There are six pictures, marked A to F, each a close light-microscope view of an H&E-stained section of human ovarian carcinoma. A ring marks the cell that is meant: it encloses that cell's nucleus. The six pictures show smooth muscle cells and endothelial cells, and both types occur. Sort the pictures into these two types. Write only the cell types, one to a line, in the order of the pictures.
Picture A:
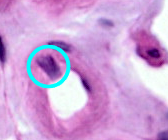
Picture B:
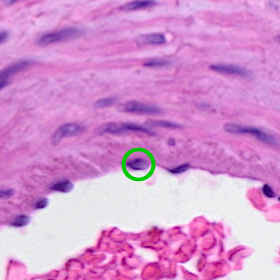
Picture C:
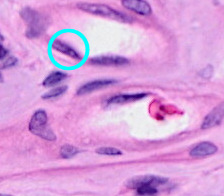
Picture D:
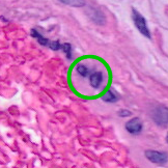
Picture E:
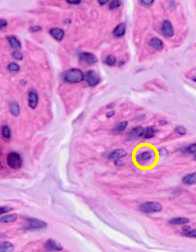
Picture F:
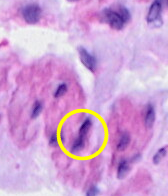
endothelial cell
endothelial cell
endothelial cell
endothelial cell
smooth muscle cell
smooth muscle cell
